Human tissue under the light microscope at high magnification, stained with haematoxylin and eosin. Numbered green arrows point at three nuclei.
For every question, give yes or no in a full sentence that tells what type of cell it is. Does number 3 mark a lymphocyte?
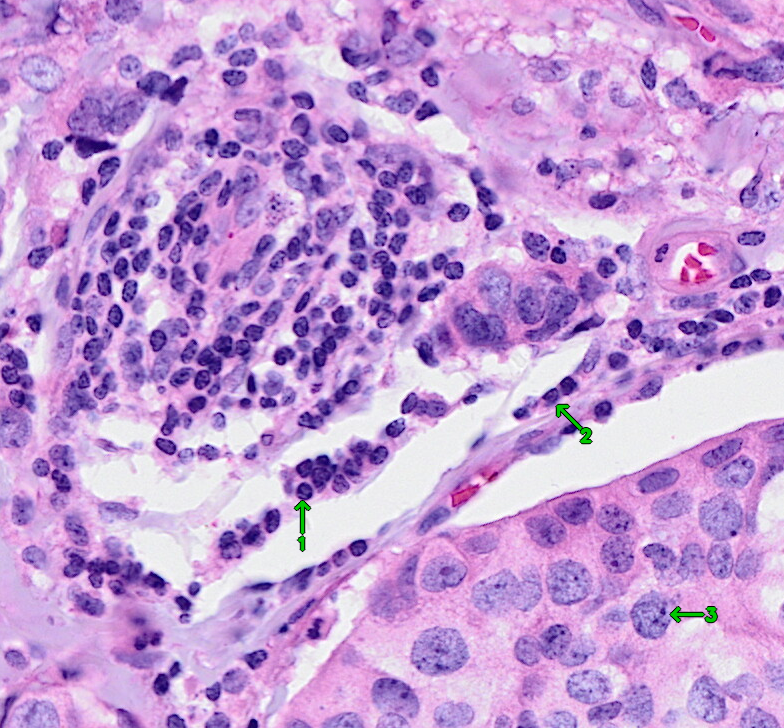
No, the cell labelled number 3 is not a lymphocyte; it is a carcinoma cell.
